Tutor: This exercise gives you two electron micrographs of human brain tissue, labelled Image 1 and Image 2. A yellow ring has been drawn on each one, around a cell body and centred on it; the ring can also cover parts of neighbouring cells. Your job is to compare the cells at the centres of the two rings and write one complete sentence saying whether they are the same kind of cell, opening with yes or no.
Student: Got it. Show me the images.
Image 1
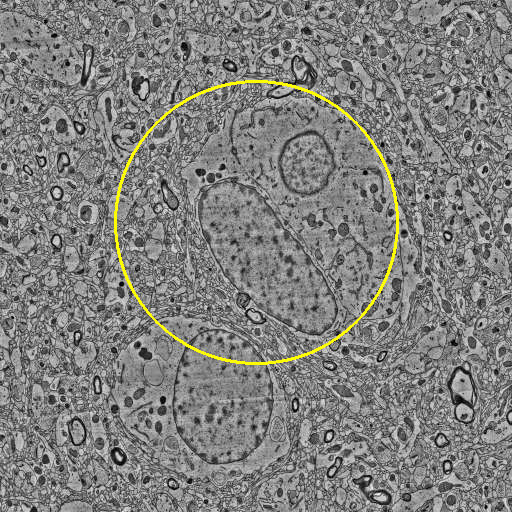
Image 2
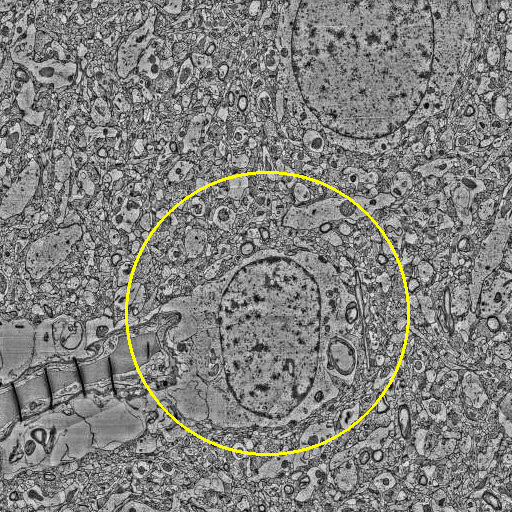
Yes, the two cells belong to the same kind.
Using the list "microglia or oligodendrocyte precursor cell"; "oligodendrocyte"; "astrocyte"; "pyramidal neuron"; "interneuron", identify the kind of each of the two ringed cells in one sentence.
The second cell is a microglial cell or oligodendrocyte precursor cell, just as the first is.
